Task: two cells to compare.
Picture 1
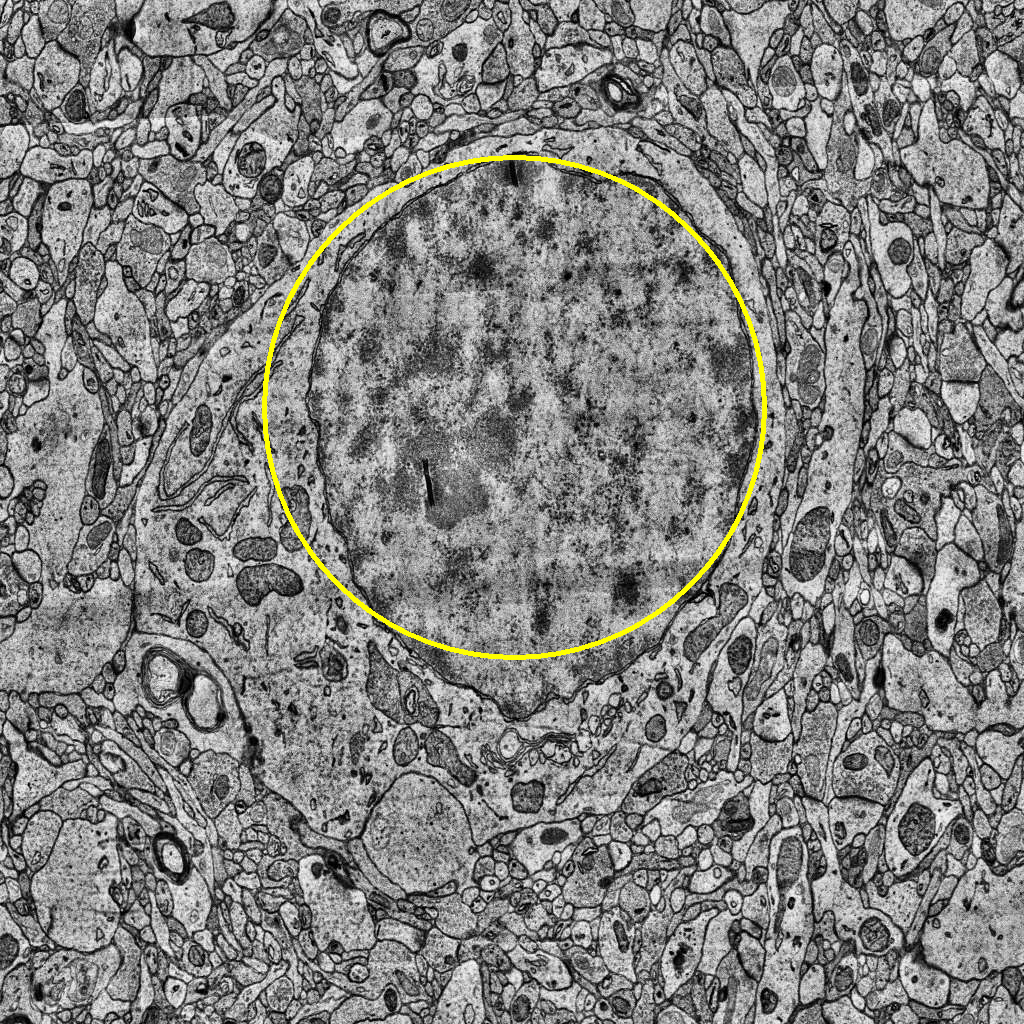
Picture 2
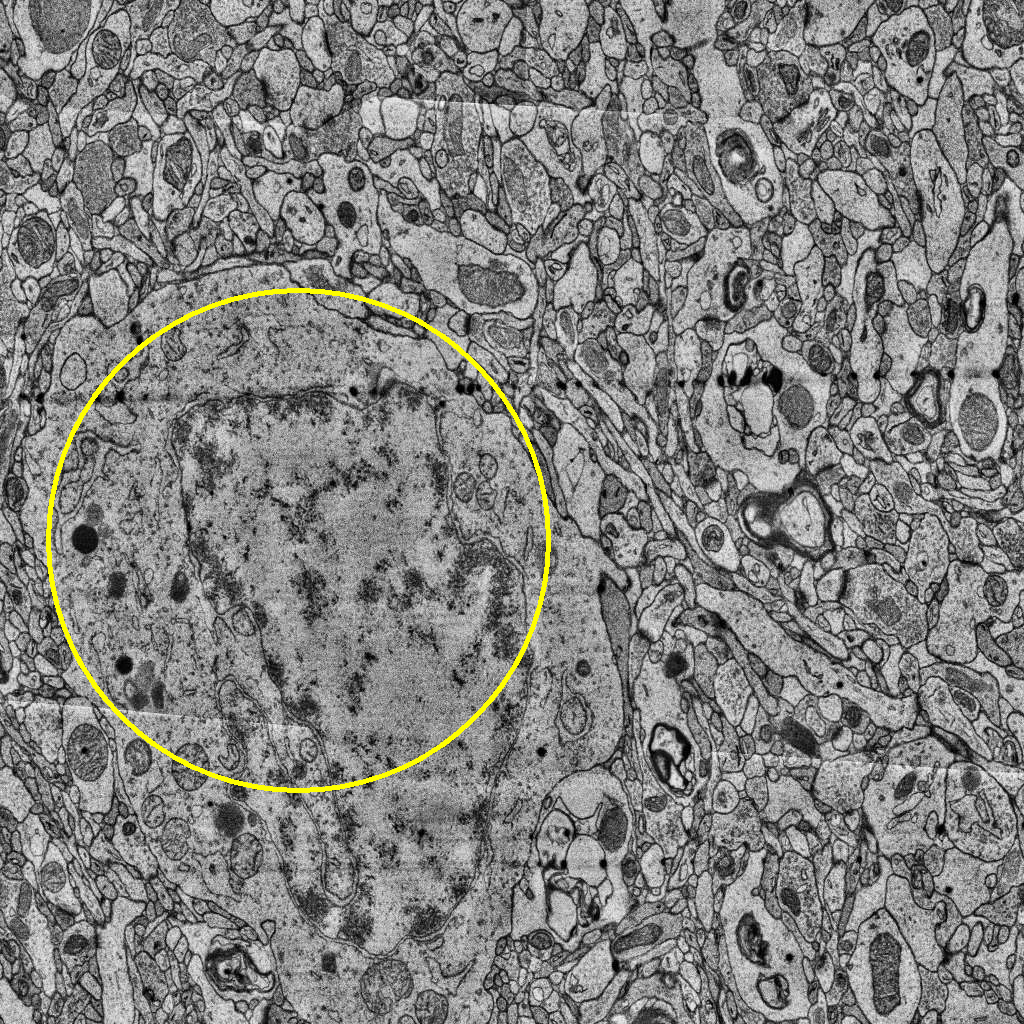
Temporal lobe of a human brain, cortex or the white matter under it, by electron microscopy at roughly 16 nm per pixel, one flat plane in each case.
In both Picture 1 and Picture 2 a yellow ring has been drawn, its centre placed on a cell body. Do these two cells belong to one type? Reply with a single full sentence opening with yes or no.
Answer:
Yes, the two cells at the ring centres in Picture 1 and Picture 2 share one type.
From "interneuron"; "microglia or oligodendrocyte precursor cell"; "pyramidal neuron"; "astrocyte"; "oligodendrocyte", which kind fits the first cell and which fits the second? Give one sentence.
Each of the two cells is an interneuron.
